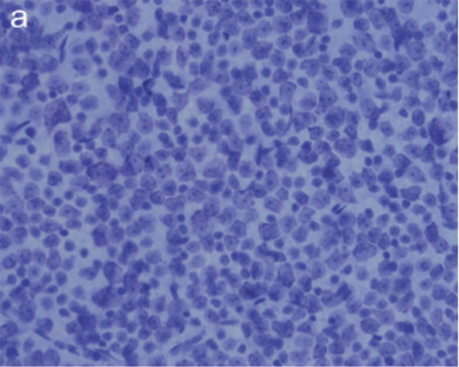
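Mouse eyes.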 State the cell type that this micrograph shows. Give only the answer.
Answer: retinal ganglion cells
